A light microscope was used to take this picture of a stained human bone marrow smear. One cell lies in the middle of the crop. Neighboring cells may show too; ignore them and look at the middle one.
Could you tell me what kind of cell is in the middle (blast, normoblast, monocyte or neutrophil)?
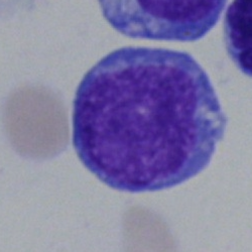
blast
